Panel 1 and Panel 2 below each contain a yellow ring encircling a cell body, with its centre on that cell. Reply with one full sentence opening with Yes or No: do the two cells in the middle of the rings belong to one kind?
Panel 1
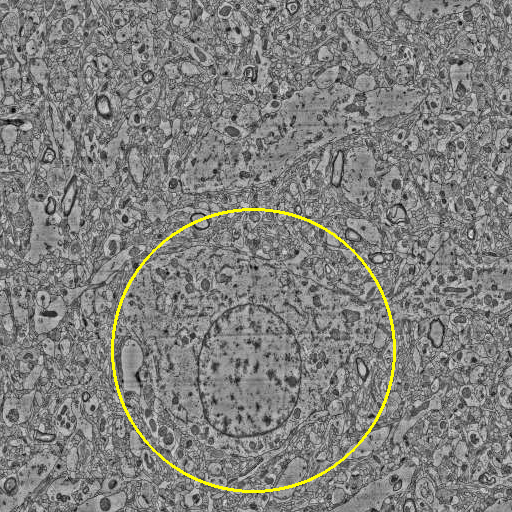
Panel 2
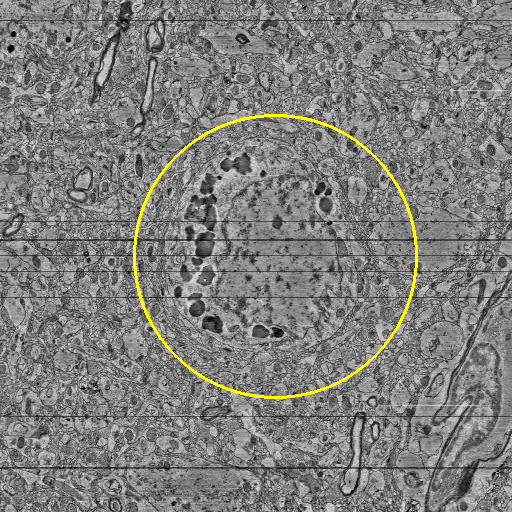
No, the cells at the middle of the Panel 1 ring and the Panel 2 ring are of two kinds.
